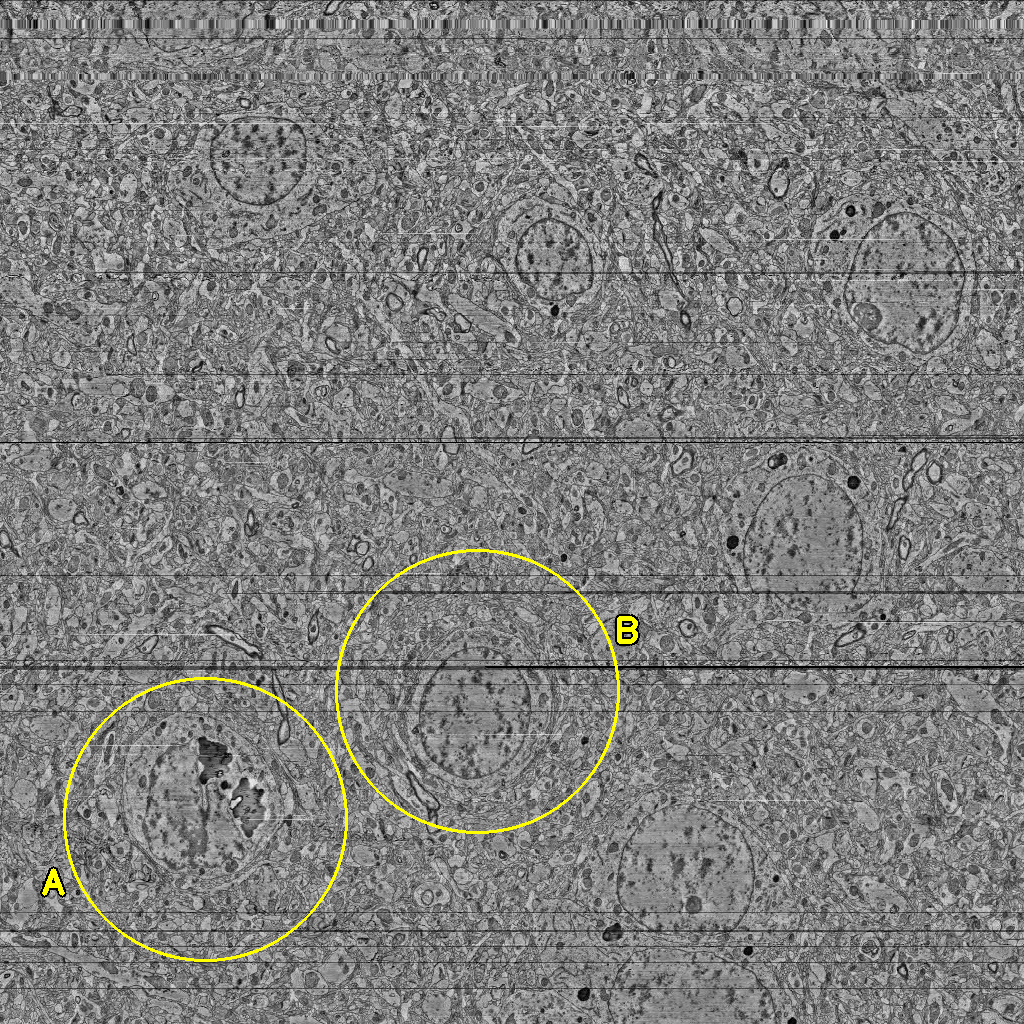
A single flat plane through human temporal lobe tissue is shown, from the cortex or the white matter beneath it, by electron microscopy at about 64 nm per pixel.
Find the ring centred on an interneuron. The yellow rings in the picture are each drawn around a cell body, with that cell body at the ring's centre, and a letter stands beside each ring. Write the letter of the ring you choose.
A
